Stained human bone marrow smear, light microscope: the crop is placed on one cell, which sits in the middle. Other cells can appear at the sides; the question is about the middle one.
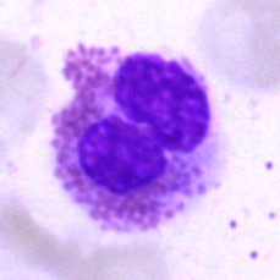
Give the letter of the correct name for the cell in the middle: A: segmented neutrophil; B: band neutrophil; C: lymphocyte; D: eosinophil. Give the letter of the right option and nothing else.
D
